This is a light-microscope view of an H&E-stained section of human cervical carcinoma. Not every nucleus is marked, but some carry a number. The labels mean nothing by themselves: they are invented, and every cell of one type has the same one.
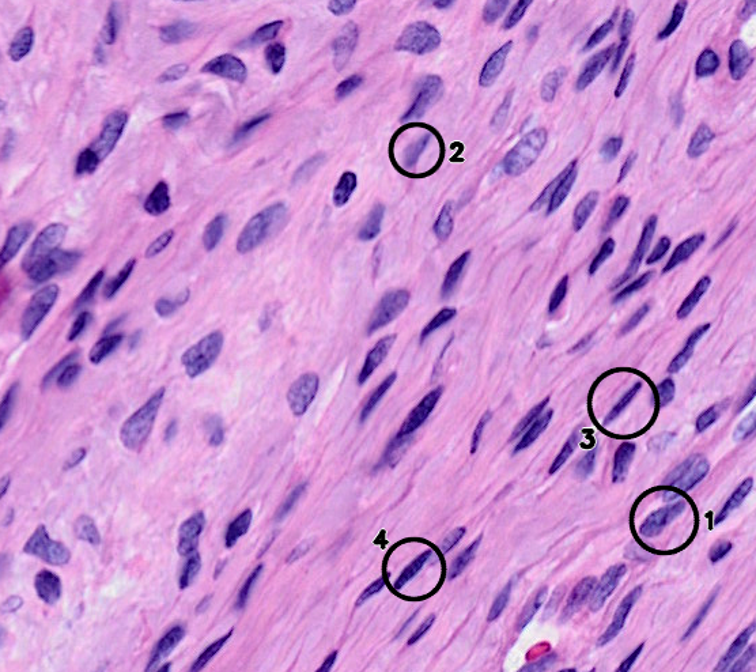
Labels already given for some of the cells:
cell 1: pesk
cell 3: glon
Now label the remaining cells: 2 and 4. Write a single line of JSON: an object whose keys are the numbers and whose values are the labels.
{"2": "glon", "4": "glon"}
